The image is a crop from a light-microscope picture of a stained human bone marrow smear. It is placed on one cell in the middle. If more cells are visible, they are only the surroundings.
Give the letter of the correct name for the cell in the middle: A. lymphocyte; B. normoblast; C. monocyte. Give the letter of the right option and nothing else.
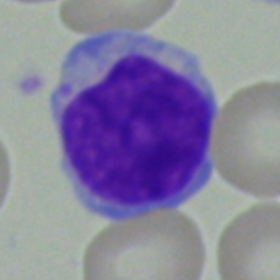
A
